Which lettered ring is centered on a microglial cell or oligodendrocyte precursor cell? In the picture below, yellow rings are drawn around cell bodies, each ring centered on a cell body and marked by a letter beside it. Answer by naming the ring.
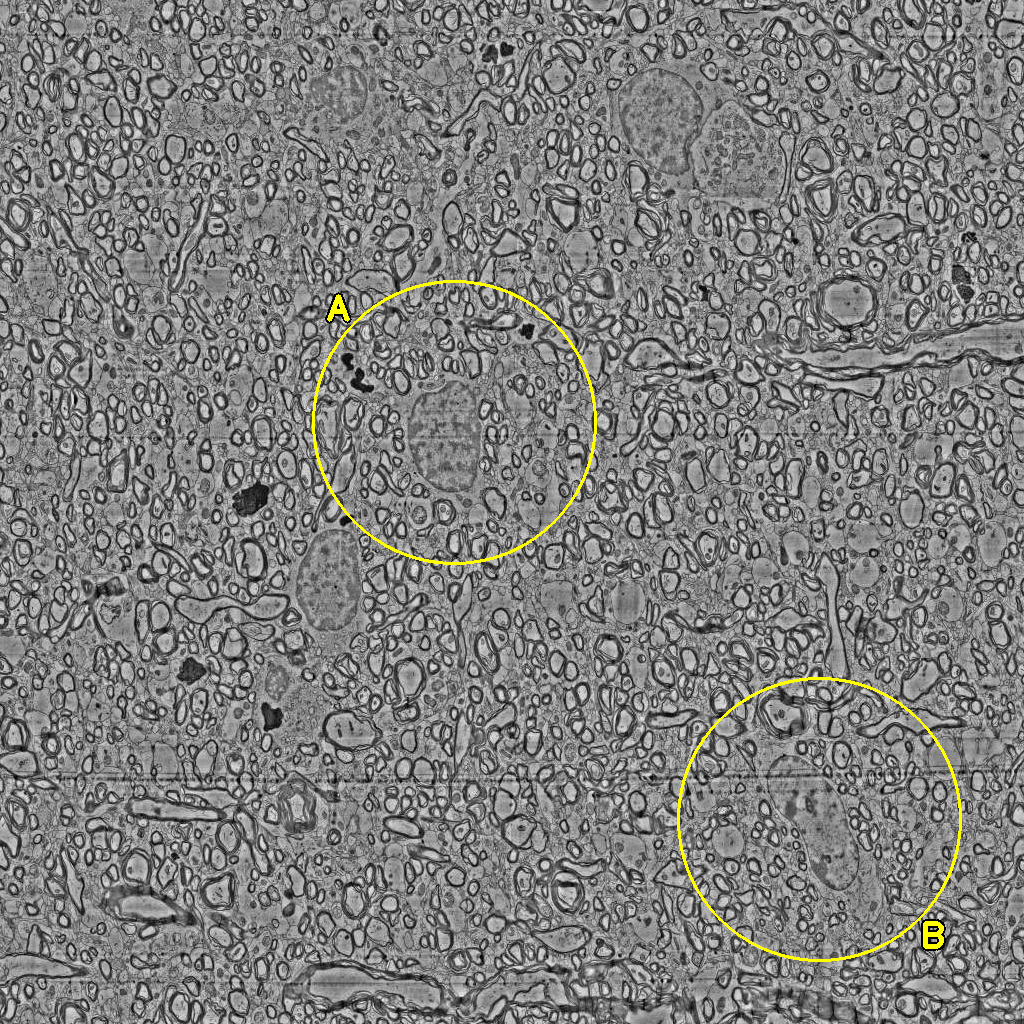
Ring B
